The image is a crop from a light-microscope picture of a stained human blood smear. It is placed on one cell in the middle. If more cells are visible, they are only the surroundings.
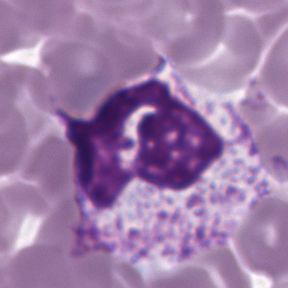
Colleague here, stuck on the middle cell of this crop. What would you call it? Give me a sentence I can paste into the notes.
Seen at the centre of the crop is a segmented neutrophil.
